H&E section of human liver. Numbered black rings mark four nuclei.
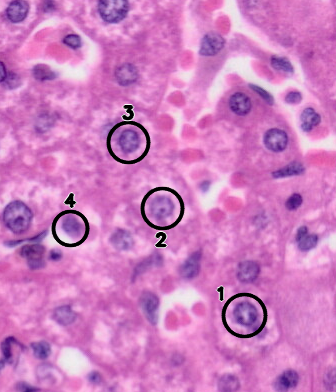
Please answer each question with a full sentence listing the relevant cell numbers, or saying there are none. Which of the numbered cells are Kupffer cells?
Only one choice fits: cell 4 is a Kupffer cell, and no other.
